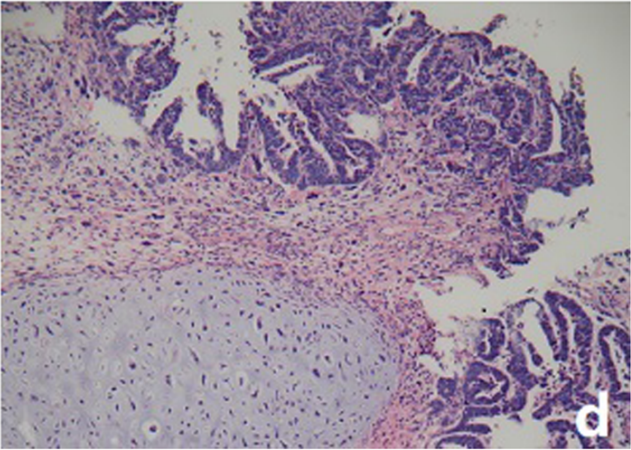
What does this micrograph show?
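This section of a tumor shows two unlike components lying side by side: malignant epithelium and cartilage set in a spindle-cell stroma. In the upper right and lower right, dark purple epithelial cells with crowded, stratified, hyperchromatic nuclei form complex papillary fronds and gland-like folds that line open clear spaces. In the lower left lies a rounded island of cartilage with a pale blue-grey, glassy matrix. Its cells sit singly in small clear spaces scattered through the matrix. Between these components runs a band of pink stroma containing elongated spindle-shaped cells with darker nuclei.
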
